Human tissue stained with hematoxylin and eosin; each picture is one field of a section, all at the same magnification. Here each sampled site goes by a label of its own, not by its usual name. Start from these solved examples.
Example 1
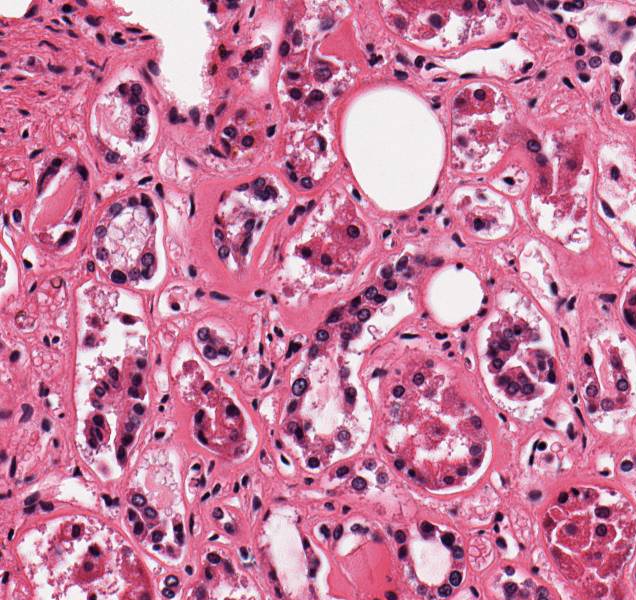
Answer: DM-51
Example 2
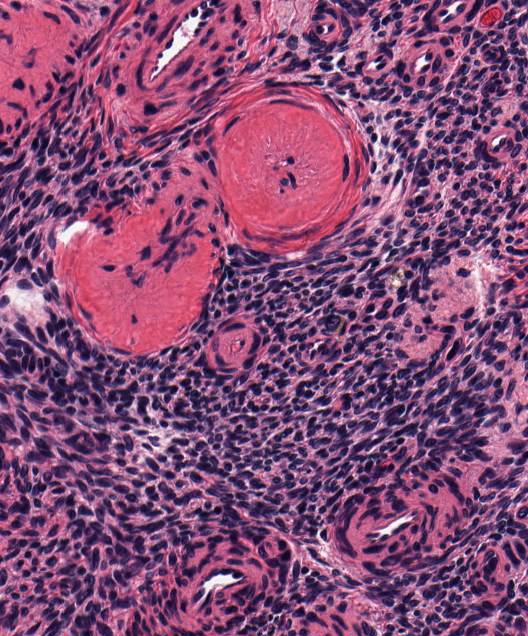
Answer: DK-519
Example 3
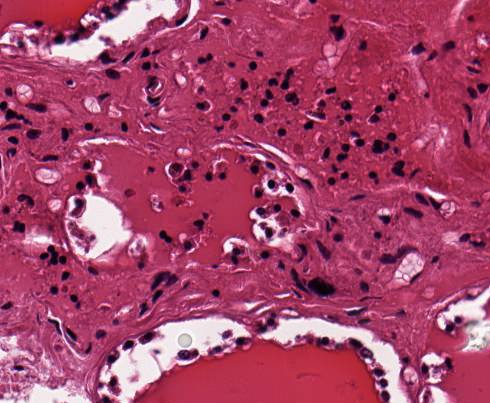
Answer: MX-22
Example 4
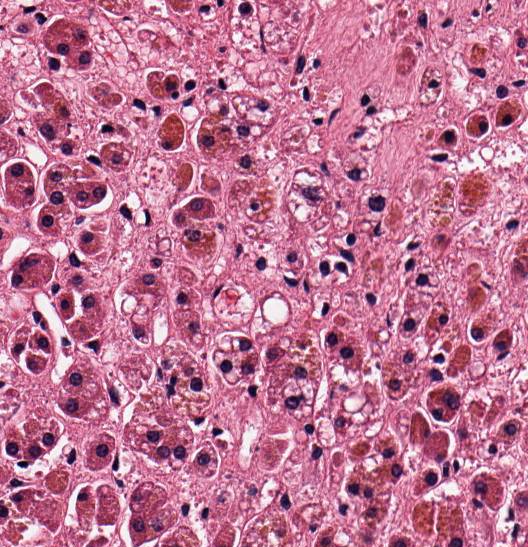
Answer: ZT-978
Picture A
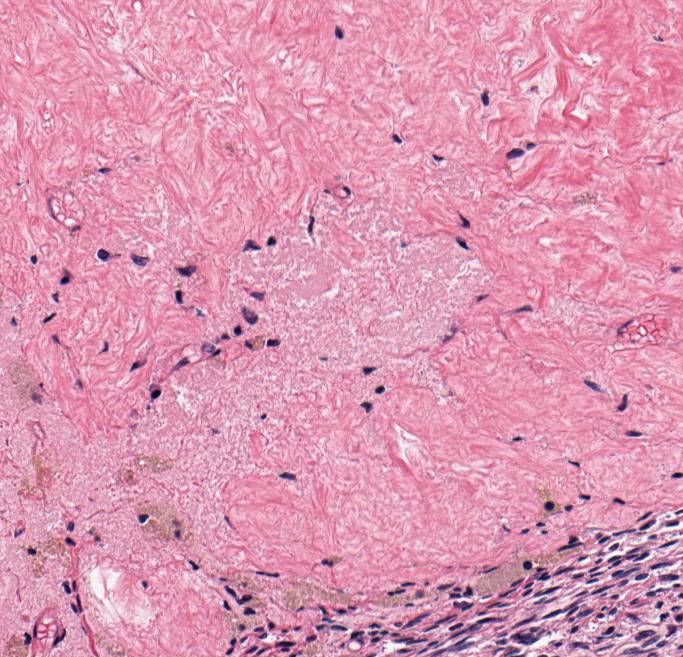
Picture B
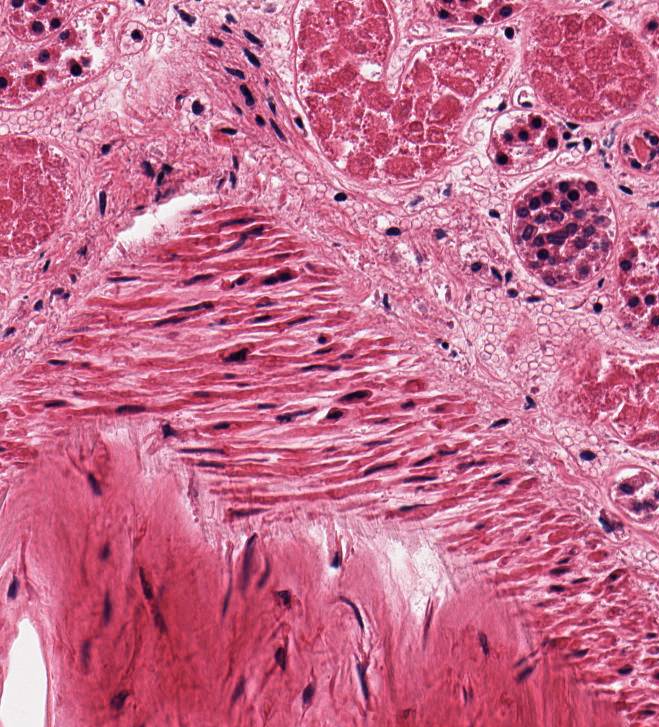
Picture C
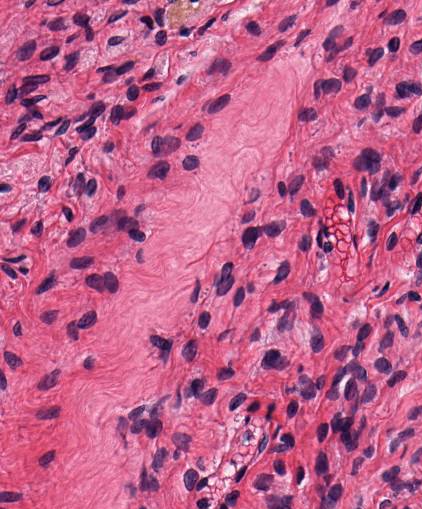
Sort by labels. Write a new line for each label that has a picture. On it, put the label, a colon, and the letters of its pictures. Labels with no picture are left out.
DM-51: B
DK-519: A, C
